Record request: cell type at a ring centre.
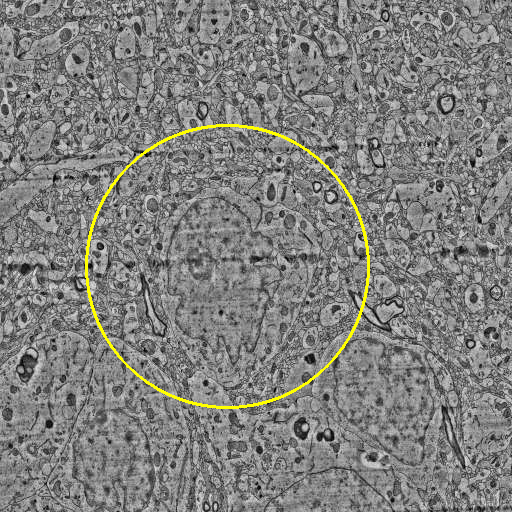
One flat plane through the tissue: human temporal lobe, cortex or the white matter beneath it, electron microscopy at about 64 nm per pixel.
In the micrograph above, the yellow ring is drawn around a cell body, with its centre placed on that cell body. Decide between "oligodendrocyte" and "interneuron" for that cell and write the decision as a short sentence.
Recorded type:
The cell centred in the yellow ring is an interneuron.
